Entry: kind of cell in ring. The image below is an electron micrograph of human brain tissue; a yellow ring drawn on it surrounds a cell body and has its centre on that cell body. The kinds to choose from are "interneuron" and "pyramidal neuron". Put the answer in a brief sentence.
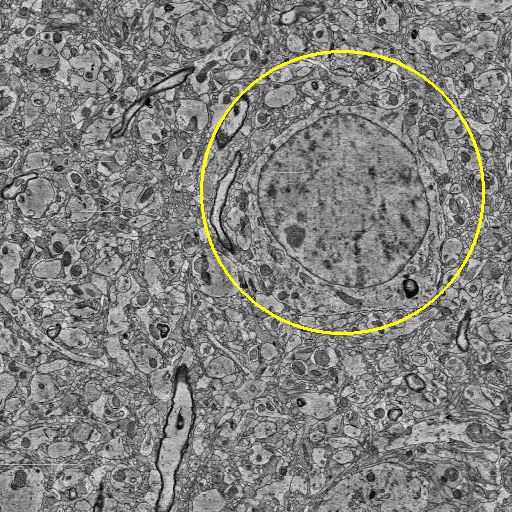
The ring has been drawn around a pyramidal neuron.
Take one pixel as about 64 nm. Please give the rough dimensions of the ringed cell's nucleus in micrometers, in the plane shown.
In this plane the nucleus measures roughly 11 micrometres across.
